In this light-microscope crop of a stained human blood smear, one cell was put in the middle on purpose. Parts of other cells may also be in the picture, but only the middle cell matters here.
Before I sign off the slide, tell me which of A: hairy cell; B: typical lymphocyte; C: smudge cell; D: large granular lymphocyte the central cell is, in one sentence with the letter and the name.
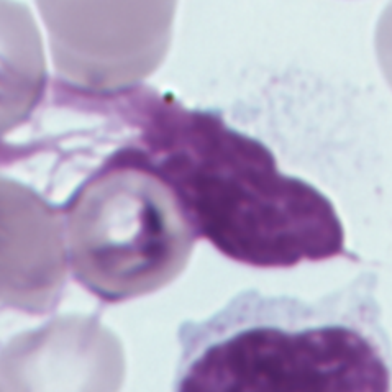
Option C stands as correct, the central cell being a smudge cell.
